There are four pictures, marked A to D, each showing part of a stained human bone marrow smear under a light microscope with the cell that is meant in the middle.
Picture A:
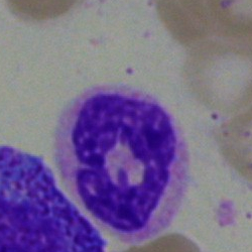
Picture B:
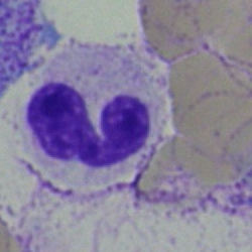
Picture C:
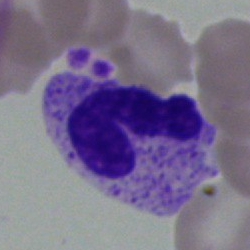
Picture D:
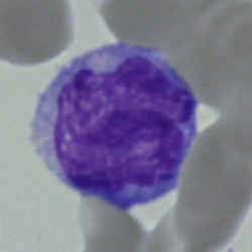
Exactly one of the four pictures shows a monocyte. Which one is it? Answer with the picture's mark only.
D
